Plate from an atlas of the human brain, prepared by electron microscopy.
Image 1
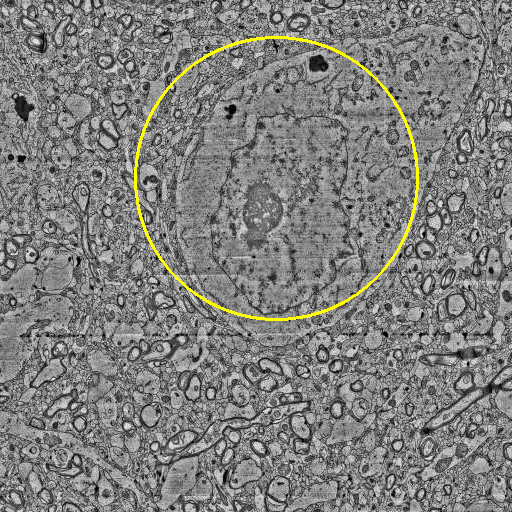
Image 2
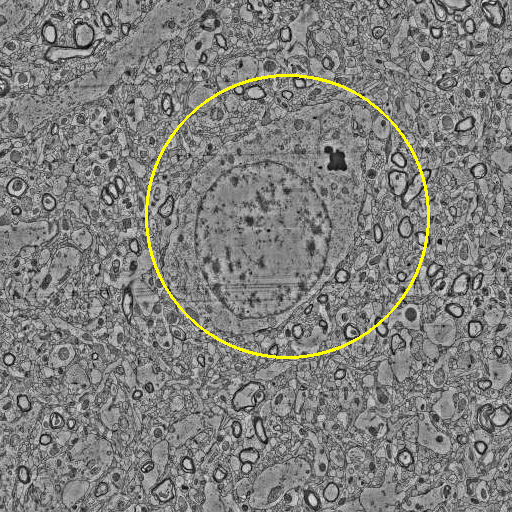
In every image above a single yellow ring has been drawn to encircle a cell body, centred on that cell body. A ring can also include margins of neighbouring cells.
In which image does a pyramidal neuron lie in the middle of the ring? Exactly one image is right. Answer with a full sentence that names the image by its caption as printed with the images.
Image 1 holds the requested cell at the very centre of its ring.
